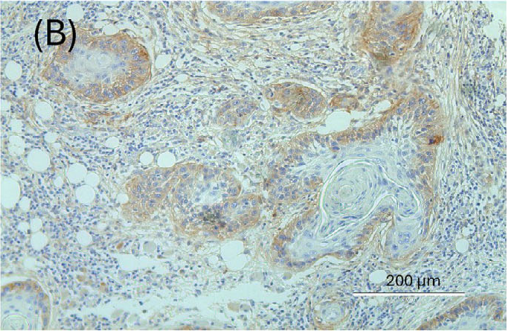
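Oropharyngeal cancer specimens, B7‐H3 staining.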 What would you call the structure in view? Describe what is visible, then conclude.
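A pale, concentrically layered keratin whorl sits in the middle of an epithelial nest. Empty round fat vacuoles lie in the surrounding stroma. The answer: keratinised interior of the tumour nest.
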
